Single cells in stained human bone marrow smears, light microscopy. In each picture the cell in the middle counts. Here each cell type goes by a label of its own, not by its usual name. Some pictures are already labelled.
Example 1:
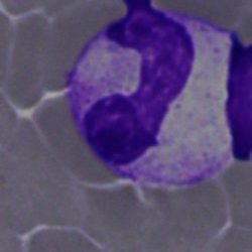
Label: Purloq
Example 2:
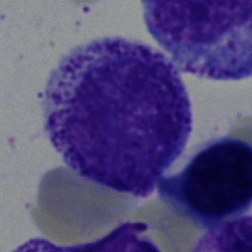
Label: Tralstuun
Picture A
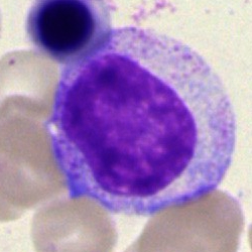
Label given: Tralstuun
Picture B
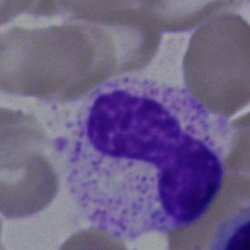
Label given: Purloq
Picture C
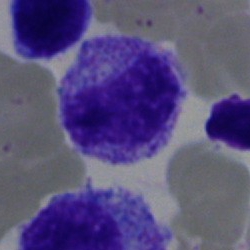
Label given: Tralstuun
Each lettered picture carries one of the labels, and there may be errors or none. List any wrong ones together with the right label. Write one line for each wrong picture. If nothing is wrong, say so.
All correct.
